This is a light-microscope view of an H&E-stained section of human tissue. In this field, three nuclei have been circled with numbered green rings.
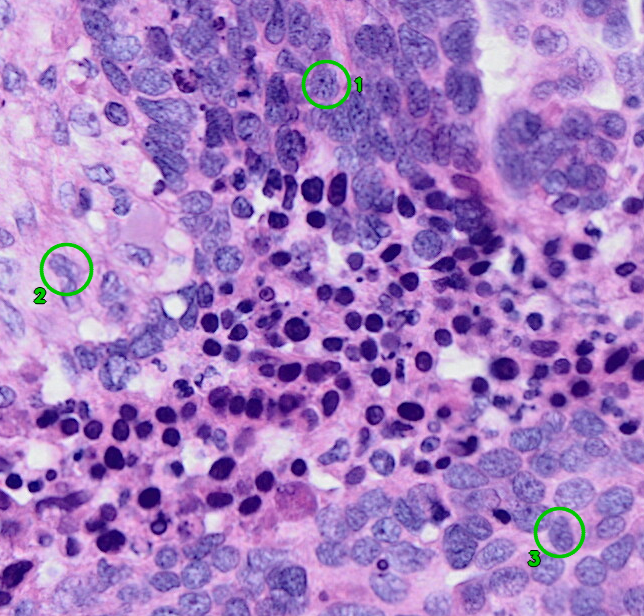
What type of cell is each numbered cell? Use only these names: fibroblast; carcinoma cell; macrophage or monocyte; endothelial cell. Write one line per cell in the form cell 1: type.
cell 1: carcinoma cell
cell 2: fibroblast
cell 3: carcinoma cell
